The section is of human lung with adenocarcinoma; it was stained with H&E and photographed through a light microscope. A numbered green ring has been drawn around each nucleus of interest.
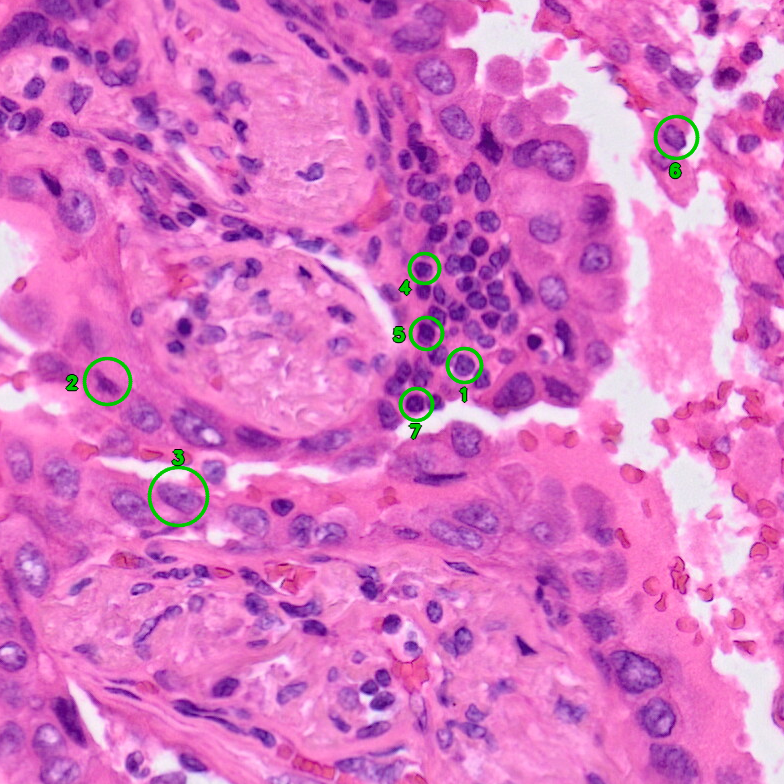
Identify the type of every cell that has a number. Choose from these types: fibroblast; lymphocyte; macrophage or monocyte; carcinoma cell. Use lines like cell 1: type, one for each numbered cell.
cell 1: lymphocyte
cell 2: carcinoma cell
cell 3: carcinoma cell
cell 4: lymphocyte
cell 5: lymphocyte
cell 6: macrophage or monocyte
cell 7: lymphocyte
